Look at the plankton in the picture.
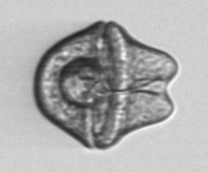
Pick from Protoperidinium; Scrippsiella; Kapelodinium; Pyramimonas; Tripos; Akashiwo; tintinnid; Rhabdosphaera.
Akashiwo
